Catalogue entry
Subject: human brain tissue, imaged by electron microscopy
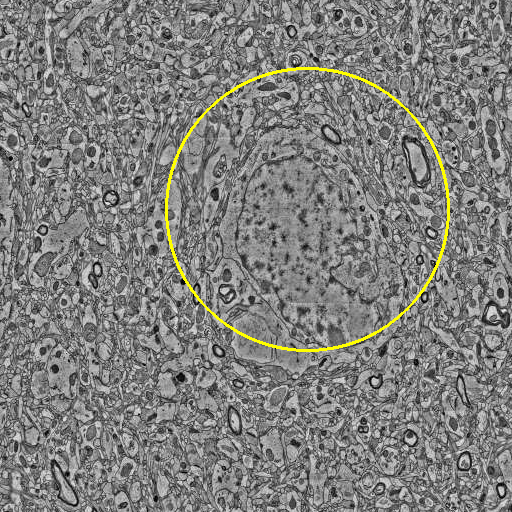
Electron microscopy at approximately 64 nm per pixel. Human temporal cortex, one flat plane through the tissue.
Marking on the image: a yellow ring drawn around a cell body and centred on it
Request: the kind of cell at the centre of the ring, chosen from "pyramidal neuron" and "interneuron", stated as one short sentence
The ring has an interneuron at its centre.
